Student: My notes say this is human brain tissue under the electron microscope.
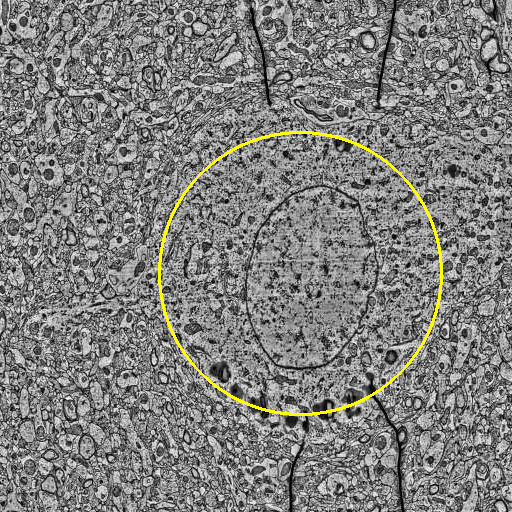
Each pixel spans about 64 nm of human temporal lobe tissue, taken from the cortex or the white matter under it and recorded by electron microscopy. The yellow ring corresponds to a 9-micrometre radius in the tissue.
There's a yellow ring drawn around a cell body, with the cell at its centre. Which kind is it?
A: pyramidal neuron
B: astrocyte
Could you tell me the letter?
A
